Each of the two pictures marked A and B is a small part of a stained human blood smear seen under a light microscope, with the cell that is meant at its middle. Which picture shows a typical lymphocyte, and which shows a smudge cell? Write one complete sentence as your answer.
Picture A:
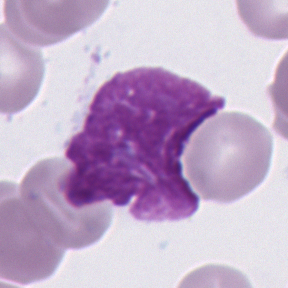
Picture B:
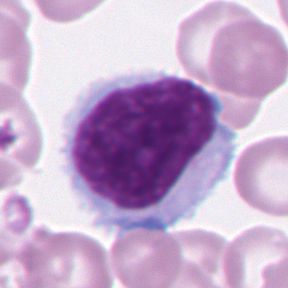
Picture A shows a smudge cell and picture B shows a typical lymphocyte.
